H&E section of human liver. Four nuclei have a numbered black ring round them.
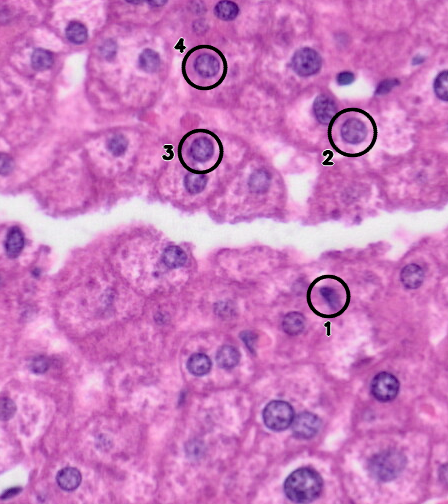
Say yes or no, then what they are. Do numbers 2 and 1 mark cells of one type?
No, cell 1 is a fibroblast or stellate cell, while cell 2 is a hepatocyte.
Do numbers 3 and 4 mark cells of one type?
Yes, in this tissue section, cells 3 and 4 are both hepatocytes.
